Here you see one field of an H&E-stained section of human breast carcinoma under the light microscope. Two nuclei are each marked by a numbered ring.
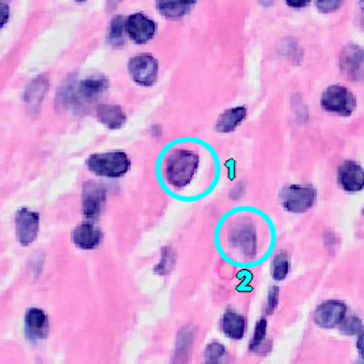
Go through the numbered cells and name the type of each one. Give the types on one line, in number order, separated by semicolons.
lymphocyte; endothelial cell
